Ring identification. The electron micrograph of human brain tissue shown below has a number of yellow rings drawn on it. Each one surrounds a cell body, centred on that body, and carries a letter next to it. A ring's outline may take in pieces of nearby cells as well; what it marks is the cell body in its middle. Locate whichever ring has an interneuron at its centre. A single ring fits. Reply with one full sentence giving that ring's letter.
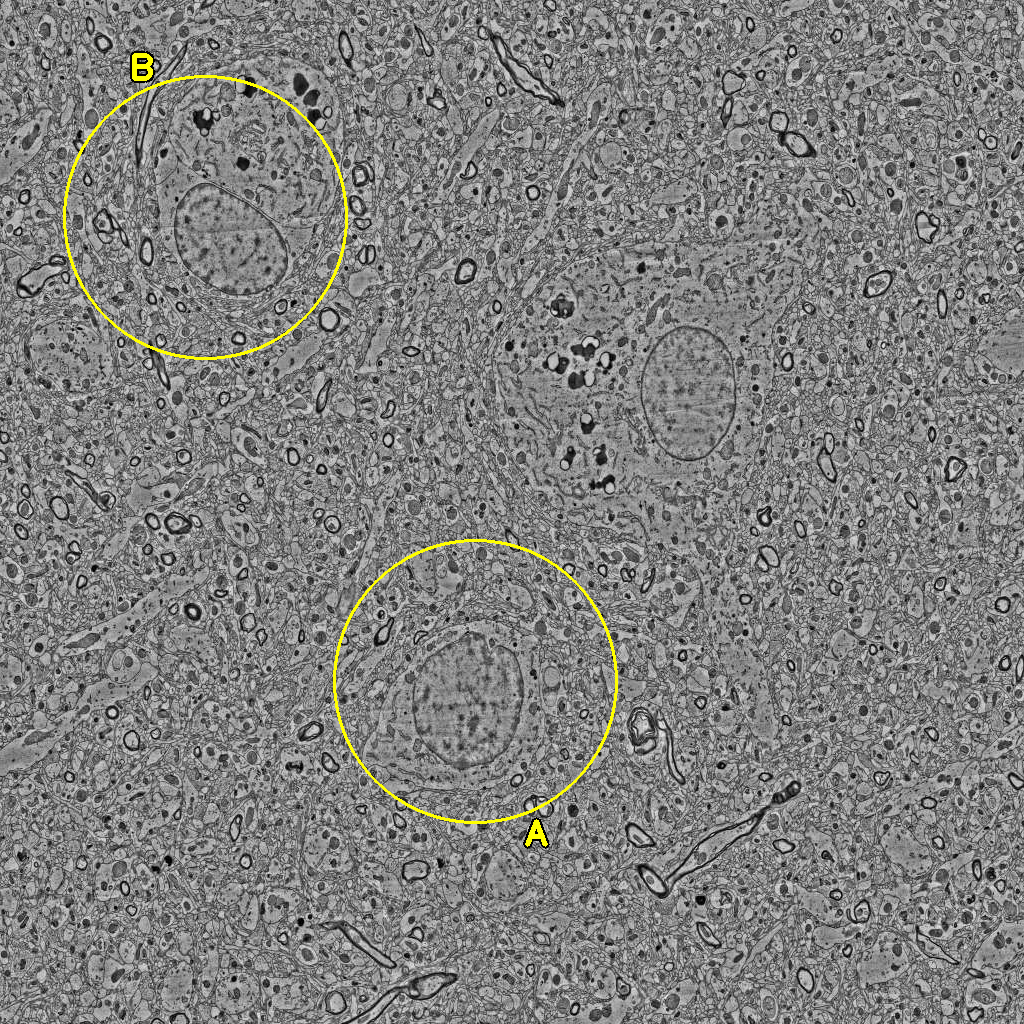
The letter A belongs to the ring centred on a cell of that kind.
